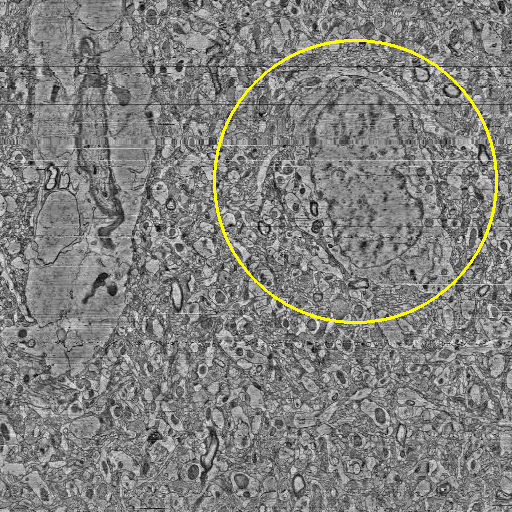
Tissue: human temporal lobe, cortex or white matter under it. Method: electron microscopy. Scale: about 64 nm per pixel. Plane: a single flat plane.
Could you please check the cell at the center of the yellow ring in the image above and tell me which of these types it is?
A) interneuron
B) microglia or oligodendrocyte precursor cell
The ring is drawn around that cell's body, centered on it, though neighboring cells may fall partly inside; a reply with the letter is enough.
A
